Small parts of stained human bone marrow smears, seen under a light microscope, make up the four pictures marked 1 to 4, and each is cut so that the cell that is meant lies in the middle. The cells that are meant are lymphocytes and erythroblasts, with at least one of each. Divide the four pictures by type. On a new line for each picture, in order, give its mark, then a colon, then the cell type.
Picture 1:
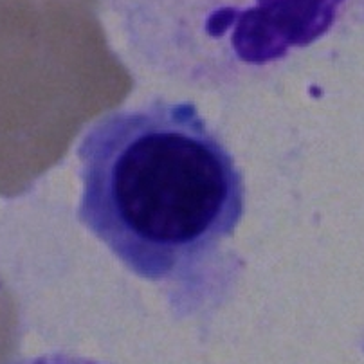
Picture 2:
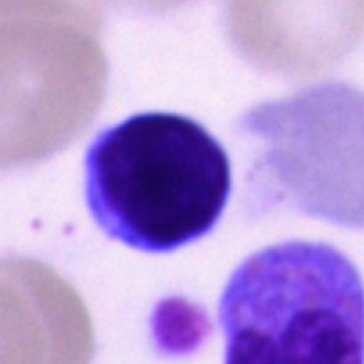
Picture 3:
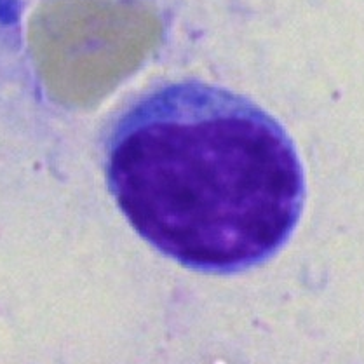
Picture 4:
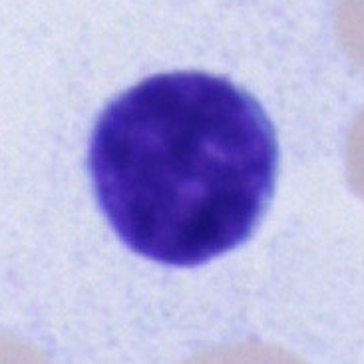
1: erythroblast
2: lymphocyte
3: lymphocyte
4: lymphocyte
